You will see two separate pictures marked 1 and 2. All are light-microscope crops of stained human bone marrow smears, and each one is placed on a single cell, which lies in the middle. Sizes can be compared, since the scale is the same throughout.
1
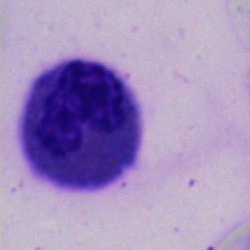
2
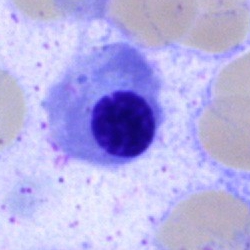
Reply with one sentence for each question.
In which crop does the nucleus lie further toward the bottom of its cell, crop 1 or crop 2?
Seen within its cell, the nucleus in crop 2 lies further toward the bottom.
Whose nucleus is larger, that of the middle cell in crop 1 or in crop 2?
The nucleus in crop 1 is larger, with about 2 times the area of the one in crop 2.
